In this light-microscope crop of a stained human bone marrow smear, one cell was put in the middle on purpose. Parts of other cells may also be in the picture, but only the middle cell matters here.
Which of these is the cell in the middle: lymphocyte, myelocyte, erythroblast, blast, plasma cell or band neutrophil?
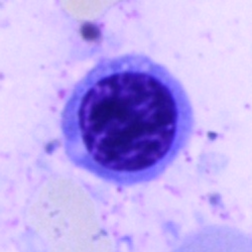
erythroblast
